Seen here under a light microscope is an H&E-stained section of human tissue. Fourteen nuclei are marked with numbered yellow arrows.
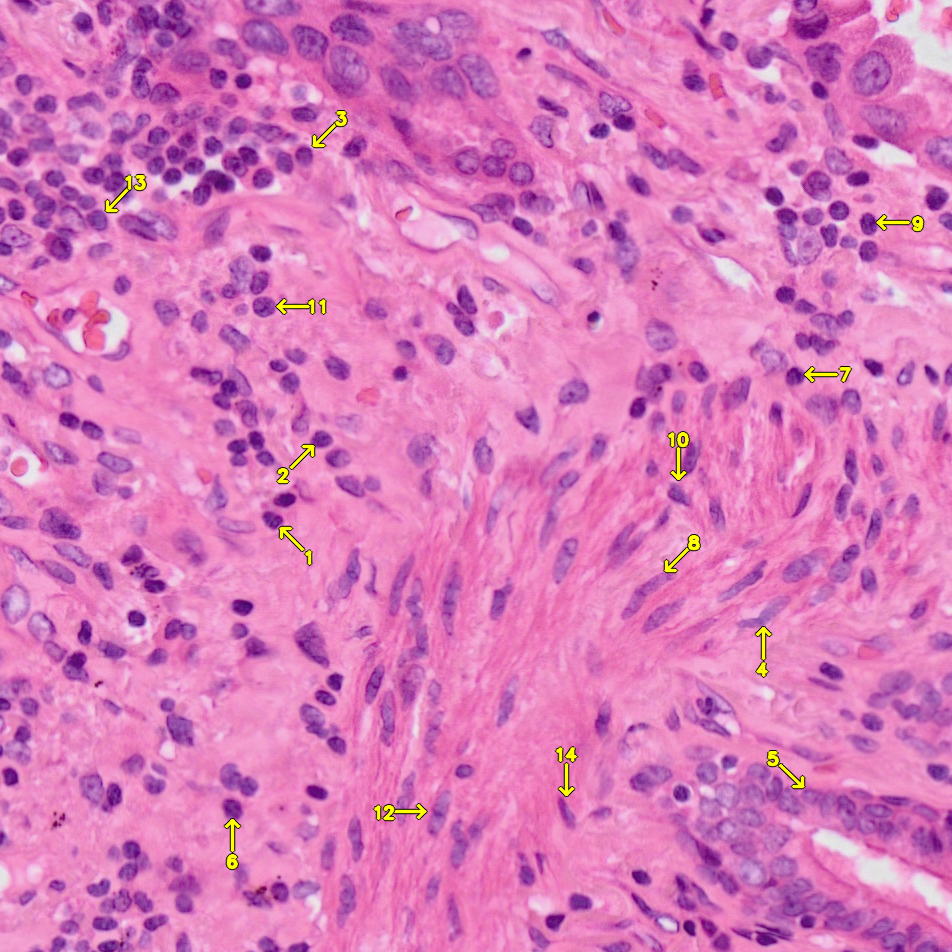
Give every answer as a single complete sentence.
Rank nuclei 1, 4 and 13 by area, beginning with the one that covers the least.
The order from the smallest nucleus to the largest is 1, 13, 4.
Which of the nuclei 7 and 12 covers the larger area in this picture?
Of the two, number 12 is bigger and takes up about 2 times the area of number 7.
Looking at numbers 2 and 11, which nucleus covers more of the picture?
Number 11 is larger; its area is about 1.5 times that of number 2.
